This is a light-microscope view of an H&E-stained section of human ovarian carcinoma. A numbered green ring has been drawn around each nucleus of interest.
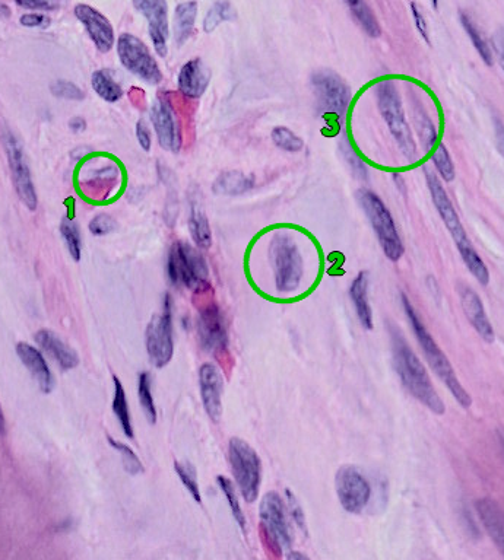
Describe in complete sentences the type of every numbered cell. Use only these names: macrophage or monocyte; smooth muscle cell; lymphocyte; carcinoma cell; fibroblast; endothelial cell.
Cell 1 is an endothelial cell. Cell 2 is a fibroblast. Cell 3 is a smooth muscle cell.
